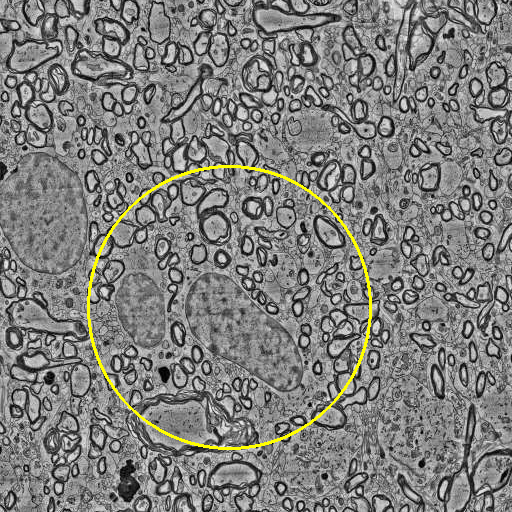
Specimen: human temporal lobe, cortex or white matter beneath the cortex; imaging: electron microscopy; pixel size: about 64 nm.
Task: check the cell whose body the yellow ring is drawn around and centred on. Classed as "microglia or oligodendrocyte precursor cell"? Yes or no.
Yes, it is classed that way.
